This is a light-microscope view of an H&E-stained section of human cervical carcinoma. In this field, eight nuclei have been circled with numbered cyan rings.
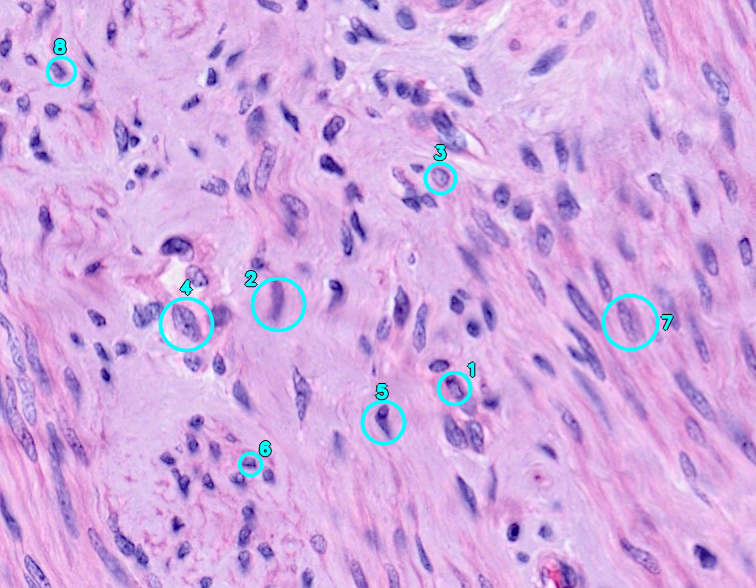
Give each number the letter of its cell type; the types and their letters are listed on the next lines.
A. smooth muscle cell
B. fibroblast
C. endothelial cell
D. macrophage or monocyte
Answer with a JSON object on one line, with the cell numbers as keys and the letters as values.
{"1": "C", "2": "A", "3": "A", "4": "C", "5": "B", "6": "A", "7": "A", "8": "A"}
